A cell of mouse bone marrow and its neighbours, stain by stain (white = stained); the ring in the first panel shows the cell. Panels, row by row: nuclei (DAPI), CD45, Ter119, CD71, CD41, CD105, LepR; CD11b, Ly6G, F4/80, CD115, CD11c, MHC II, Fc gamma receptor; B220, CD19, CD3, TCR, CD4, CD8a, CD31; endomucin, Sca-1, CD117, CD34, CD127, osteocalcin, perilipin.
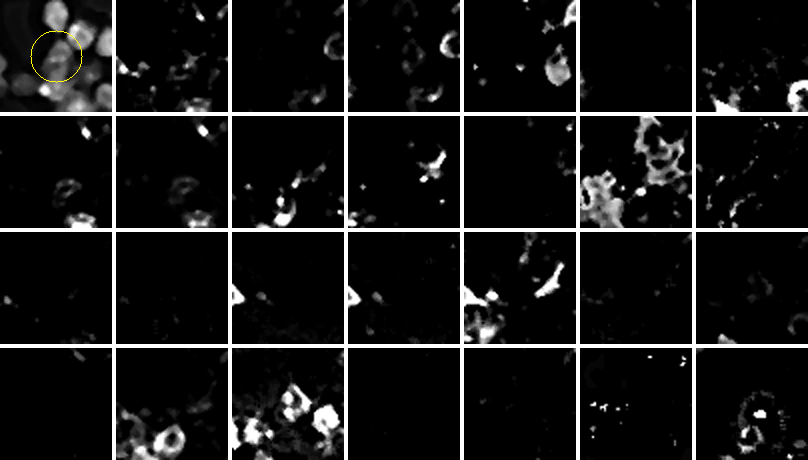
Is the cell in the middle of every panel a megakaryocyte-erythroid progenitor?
Yes, it is a megakaryocyte-erythroid progenitor.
